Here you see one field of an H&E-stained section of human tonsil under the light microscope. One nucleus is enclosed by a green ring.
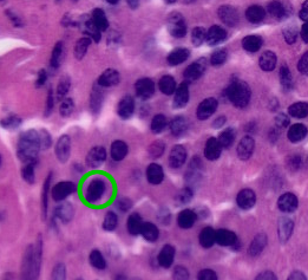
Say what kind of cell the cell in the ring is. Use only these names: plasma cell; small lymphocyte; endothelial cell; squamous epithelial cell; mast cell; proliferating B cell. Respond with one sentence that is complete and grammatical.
At the level of cell identity, the cell in the ring is a plasma cell.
